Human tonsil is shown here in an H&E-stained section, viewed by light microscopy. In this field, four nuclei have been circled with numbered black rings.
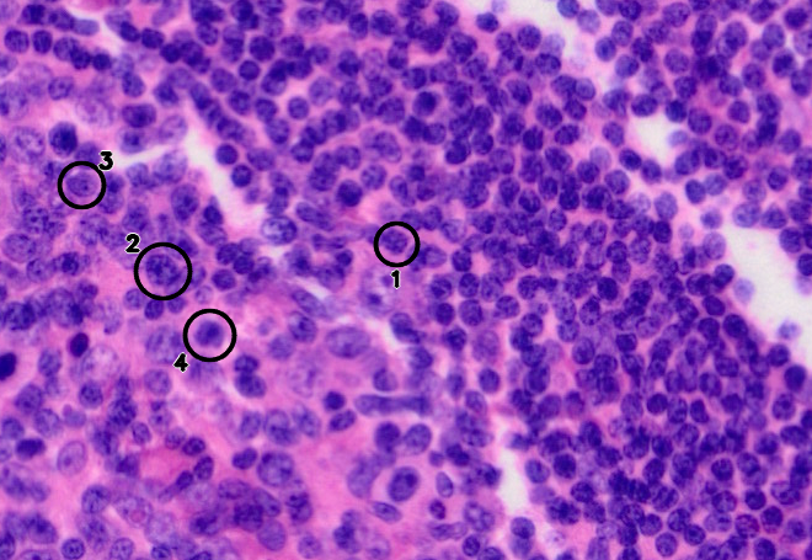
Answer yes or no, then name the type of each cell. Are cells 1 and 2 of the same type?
No, cell 1 is a small lymphocyte and cell 2 is a proliferating B cell.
